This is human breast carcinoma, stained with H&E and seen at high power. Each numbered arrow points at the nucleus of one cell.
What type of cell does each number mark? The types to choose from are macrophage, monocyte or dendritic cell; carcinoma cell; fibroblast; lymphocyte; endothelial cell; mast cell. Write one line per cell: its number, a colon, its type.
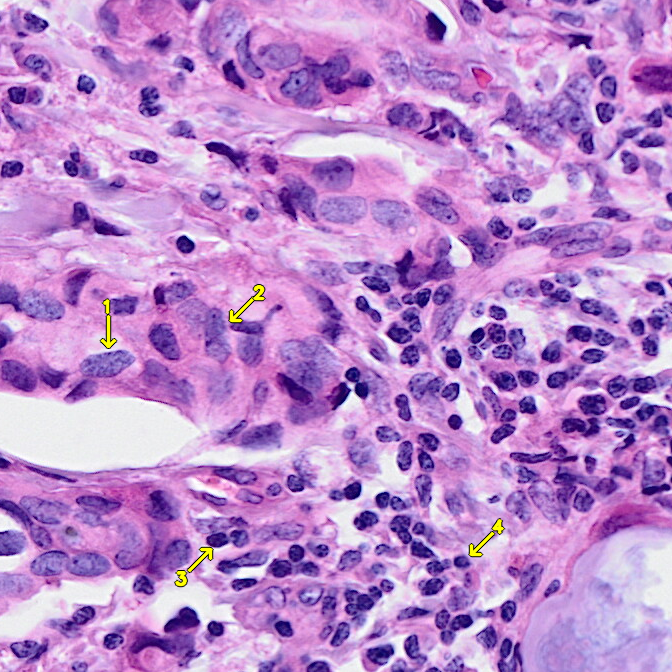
1: carcinoma cell
2: carcinoma cell
3: lymphocyte
4: lymphocyte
